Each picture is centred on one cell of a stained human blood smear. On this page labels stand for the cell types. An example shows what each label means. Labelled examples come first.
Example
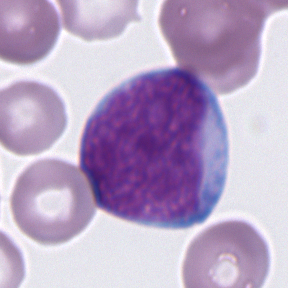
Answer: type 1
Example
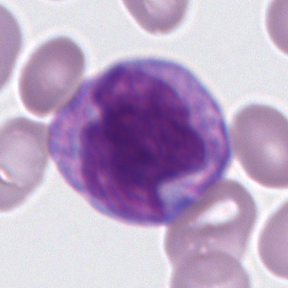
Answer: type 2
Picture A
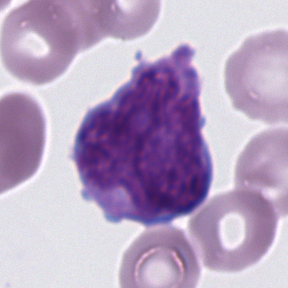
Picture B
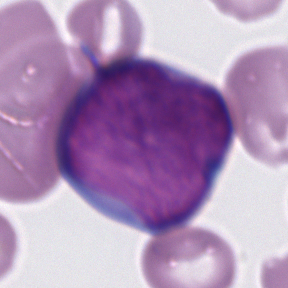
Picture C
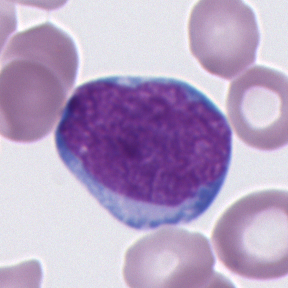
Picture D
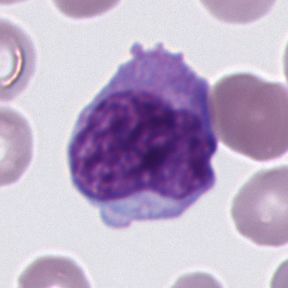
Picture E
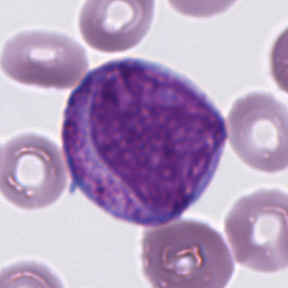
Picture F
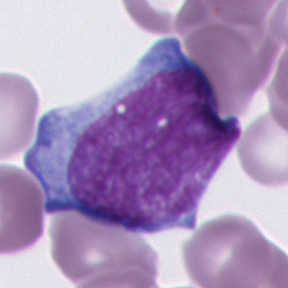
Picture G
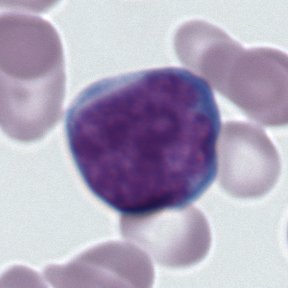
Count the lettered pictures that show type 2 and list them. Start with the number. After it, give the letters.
3, namely A, D, E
